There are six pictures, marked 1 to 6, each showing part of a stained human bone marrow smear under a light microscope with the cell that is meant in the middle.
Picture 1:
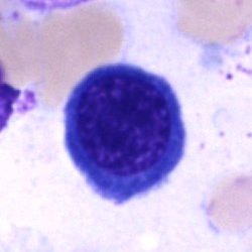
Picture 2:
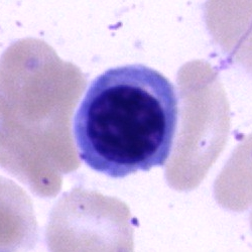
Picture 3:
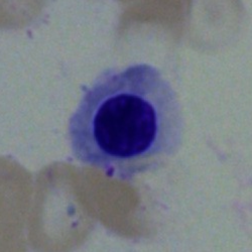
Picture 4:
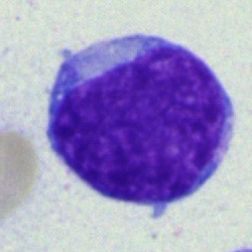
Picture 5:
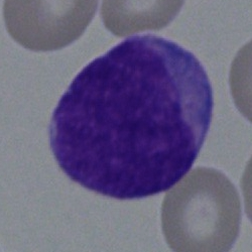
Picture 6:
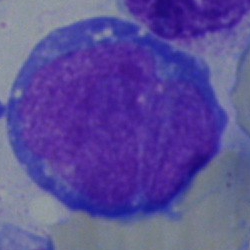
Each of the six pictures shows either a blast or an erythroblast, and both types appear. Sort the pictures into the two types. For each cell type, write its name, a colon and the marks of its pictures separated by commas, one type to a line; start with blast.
blast: 4, 5, 6
erythroblast: 1, 2, 3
